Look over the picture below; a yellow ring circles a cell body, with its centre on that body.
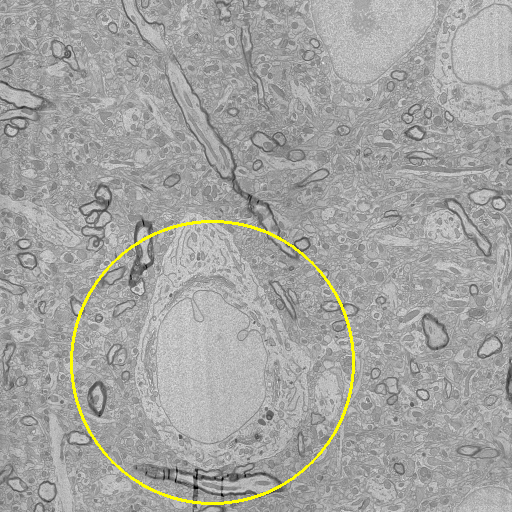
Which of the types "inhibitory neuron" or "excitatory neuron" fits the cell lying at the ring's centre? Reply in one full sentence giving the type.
The picture shows an inhibitory neuron at the centre of the yellow ring.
